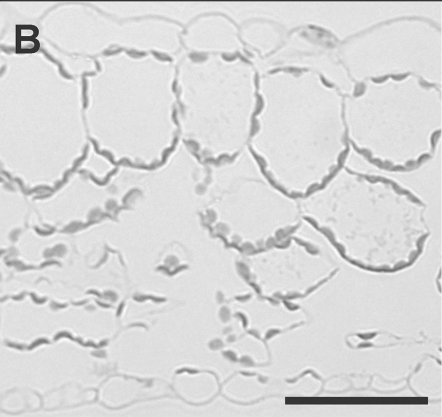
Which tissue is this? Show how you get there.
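A thin layer of small flat cells borders the top and bottom. Large rounded cells in a row lie under the upper surface. Loosely arranged cells with air spaces fill the lower part. The answer: leaves.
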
